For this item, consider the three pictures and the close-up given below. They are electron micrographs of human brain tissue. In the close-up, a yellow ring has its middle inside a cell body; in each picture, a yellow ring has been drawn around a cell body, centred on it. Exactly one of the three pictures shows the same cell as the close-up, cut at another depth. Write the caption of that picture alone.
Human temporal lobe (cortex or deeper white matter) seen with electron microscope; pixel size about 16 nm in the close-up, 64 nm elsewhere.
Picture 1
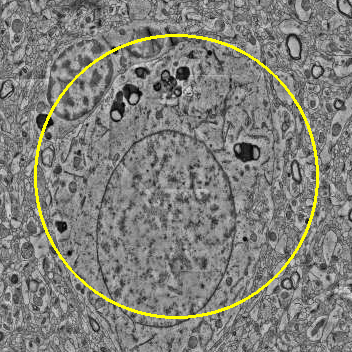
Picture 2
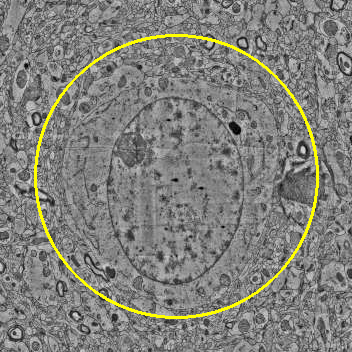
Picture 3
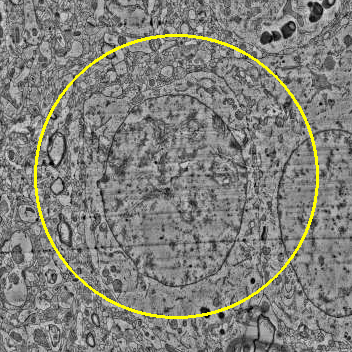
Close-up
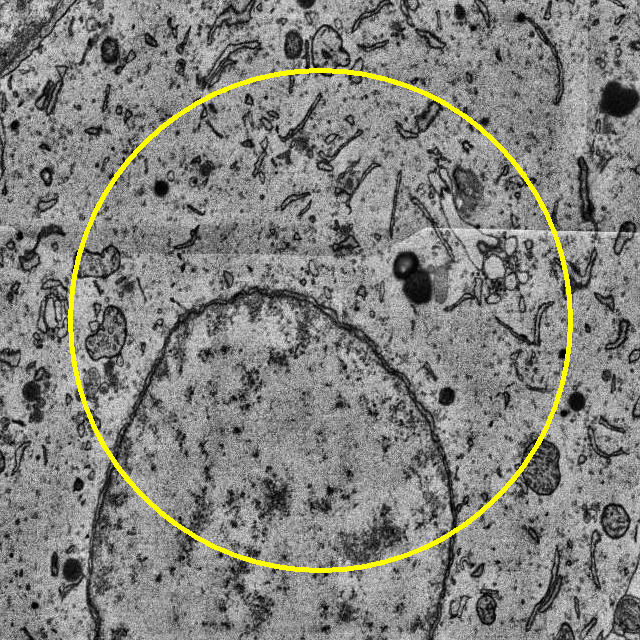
Picture 1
